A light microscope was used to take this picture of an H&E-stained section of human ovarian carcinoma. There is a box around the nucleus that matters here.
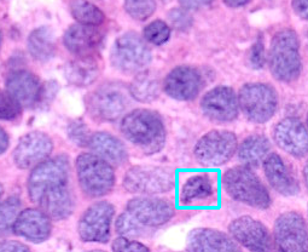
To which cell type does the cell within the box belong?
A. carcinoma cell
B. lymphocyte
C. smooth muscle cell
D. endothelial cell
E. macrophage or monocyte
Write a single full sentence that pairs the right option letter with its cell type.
Here the cell within the box is a macrophage or monocyte, which makes option E correct.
